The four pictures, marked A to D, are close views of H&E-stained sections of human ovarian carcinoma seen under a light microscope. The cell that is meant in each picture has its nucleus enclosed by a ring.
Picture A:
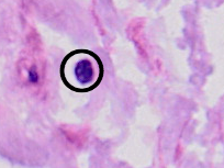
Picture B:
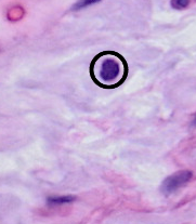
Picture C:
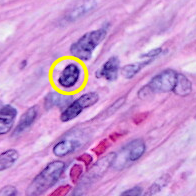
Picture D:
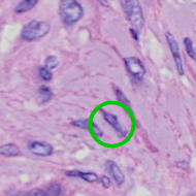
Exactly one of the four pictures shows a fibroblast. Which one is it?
D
